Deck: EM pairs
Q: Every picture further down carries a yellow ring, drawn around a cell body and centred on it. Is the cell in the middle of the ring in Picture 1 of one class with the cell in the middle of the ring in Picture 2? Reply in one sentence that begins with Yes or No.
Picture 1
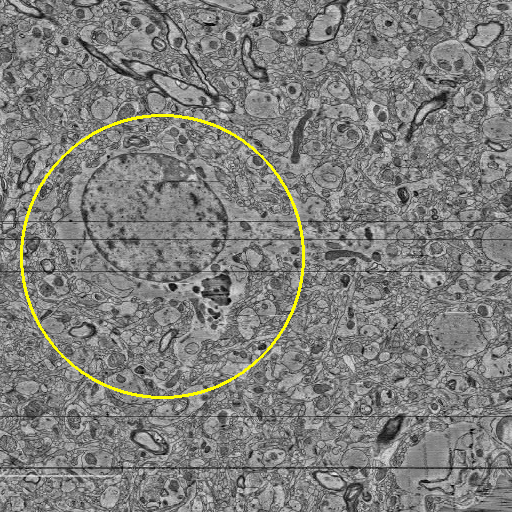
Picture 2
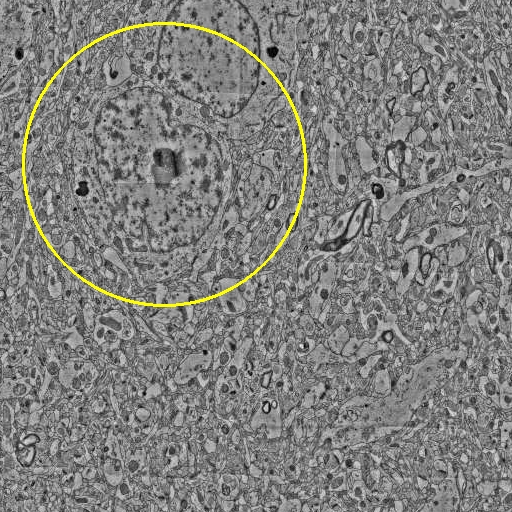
No, the cell centred in the ring of Picture 1 and the one in Picture 2 belong to separate classes.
